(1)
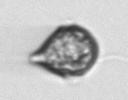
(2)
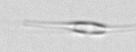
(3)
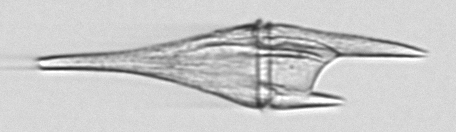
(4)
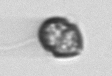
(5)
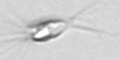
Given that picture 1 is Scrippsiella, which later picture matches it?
4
